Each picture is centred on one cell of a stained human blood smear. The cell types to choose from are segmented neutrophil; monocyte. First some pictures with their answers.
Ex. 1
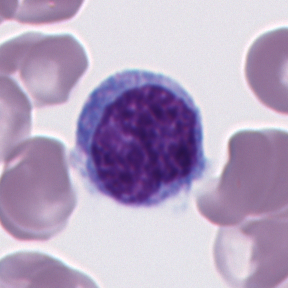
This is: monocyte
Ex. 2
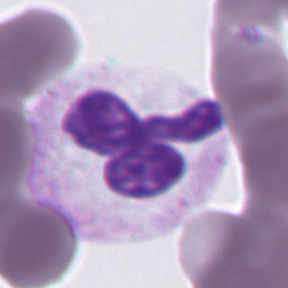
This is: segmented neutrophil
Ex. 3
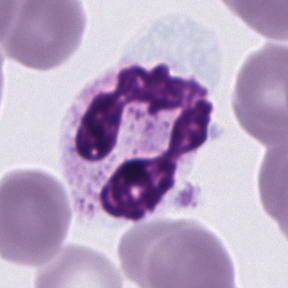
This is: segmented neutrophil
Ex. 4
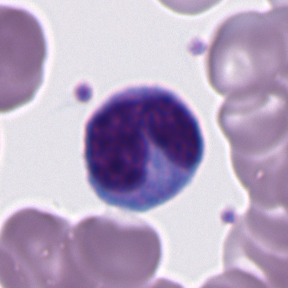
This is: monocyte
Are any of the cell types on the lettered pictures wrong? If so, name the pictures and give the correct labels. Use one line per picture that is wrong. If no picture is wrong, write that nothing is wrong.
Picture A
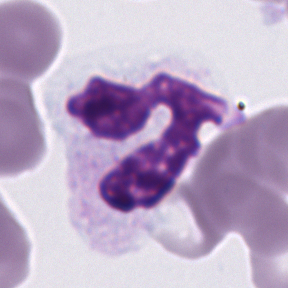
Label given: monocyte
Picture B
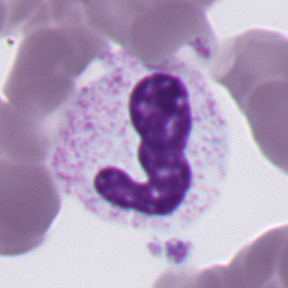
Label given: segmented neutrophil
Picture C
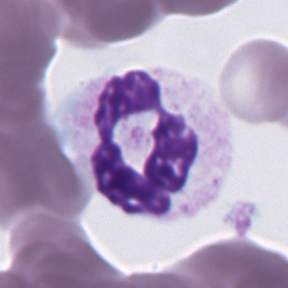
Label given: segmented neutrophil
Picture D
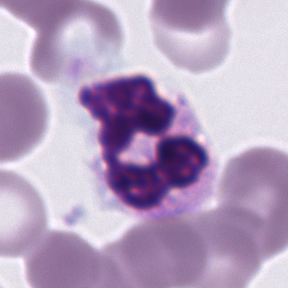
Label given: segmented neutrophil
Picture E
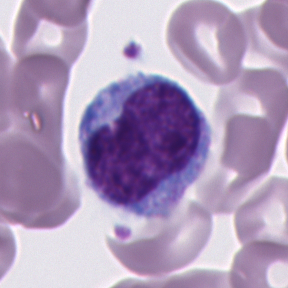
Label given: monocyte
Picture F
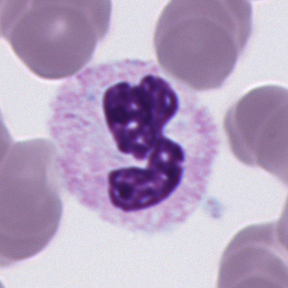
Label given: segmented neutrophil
A: not monocyte but segmented neutrophil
